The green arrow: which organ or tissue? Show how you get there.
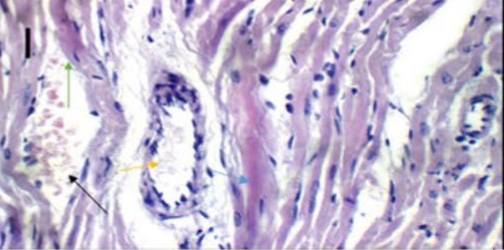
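Long wavy fibres with pale cytoplasm lie side by side. The answer: cardiac muscle fibers.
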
